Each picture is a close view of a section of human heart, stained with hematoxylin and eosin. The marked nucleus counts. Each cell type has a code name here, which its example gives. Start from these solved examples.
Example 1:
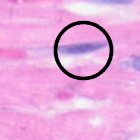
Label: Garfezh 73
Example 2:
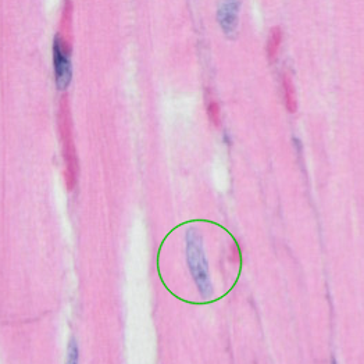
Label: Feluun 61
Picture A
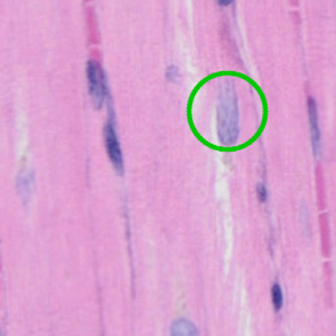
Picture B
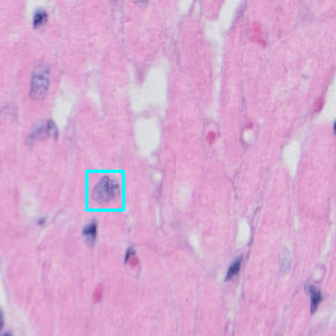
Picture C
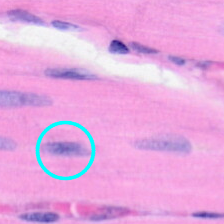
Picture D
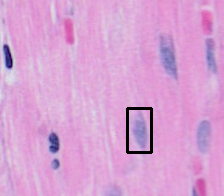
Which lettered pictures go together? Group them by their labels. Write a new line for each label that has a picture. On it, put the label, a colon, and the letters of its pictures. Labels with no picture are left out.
Garfezh 73: C, D
Feluun 61: A, B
